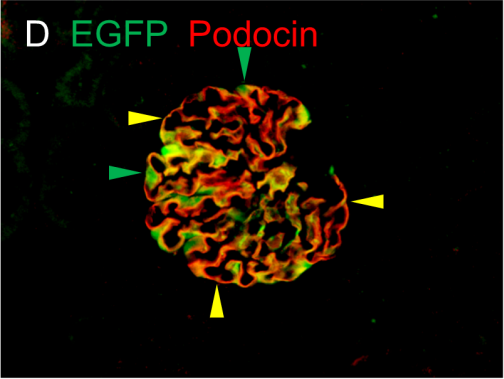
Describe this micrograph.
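This is a single kidney glomerulus, a round tuft of looping capillaries seen in cross section. Thin wavy lines in red and yellow trace the walls of the capillary loops, each enclosing a dark lumen. On the outer surface of the loops sit podocytes, whose cell bodies show up as rounded, purely green bulges at the rim of the tuft. Around the tuft the surrounding tissue is dark.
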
